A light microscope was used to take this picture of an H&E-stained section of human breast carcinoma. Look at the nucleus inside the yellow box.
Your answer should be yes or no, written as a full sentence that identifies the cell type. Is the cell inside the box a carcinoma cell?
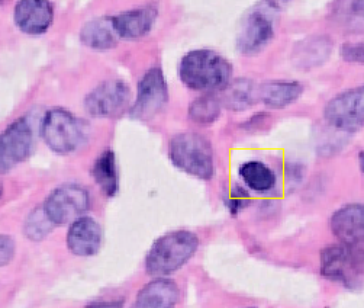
No, the cell inside the box is best named a lymphocyte, not a carcinoma cell.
